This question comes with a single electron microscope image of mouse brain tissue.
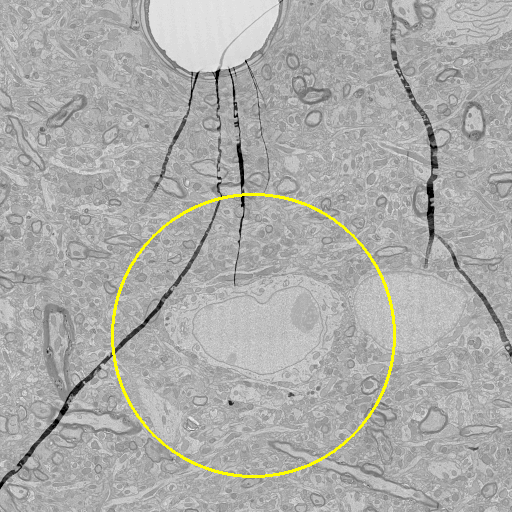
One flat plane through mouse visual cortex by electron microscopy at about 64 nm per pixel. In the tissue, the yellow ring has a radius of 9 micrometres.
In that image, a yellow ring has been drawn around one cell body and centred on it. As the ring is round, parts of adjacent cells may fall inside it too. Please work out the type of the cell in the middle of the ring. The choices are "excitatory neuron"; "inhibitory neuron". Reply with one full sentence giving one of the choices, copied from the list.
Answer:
Of the choices, an excitatory neuron is the cell sitting in the middle of the ring.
